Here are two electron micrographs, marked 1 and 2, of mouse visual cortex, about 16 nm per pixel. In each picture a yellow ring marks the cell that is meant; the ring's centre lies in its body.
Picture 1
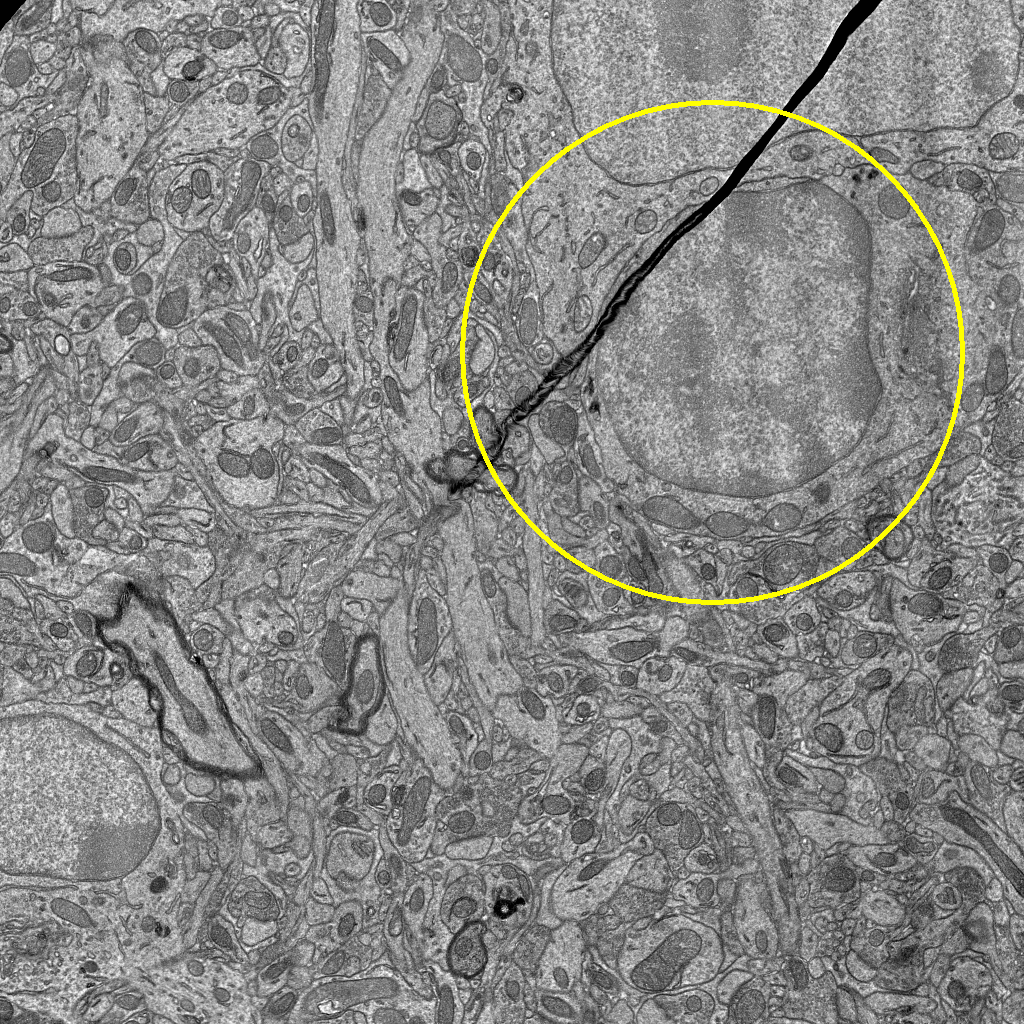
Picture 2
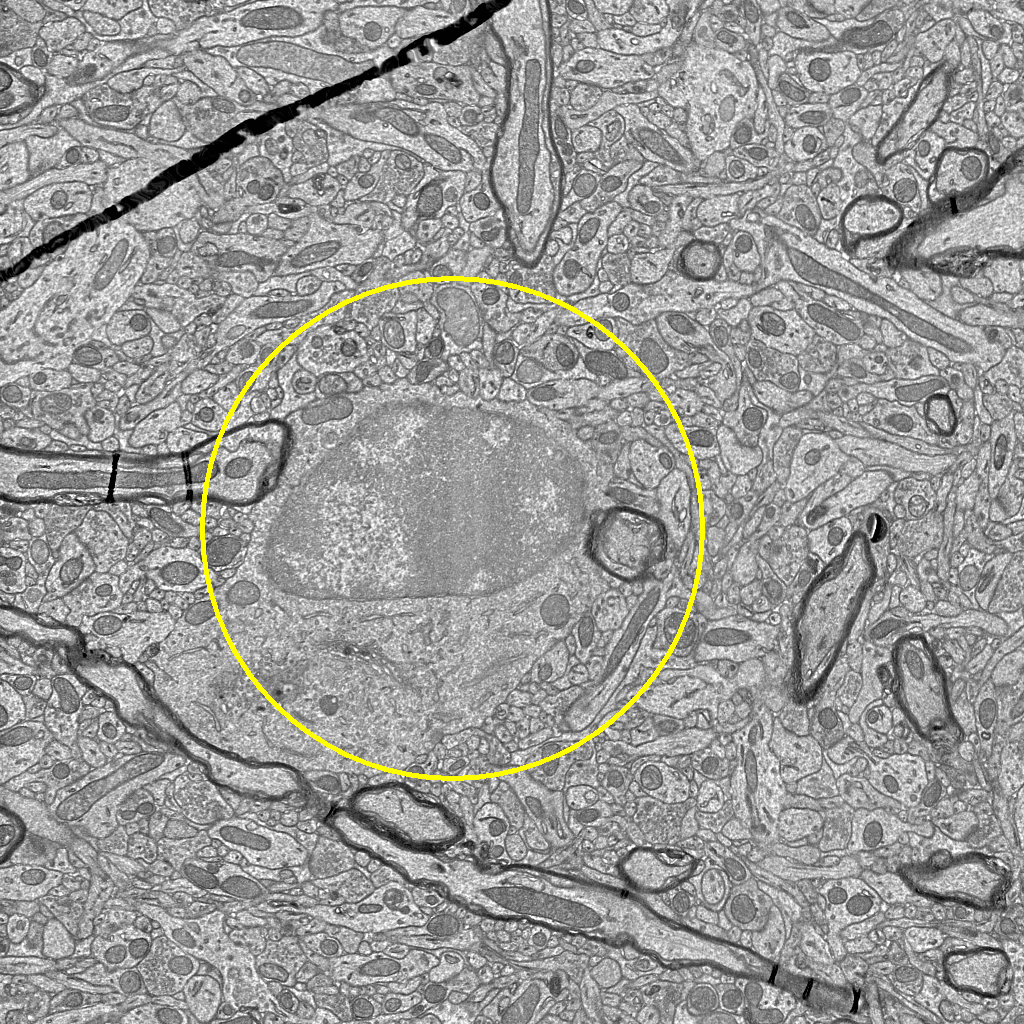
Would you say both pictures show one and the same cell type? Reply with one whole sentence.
Yes, both cells are oligodendrocytes.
